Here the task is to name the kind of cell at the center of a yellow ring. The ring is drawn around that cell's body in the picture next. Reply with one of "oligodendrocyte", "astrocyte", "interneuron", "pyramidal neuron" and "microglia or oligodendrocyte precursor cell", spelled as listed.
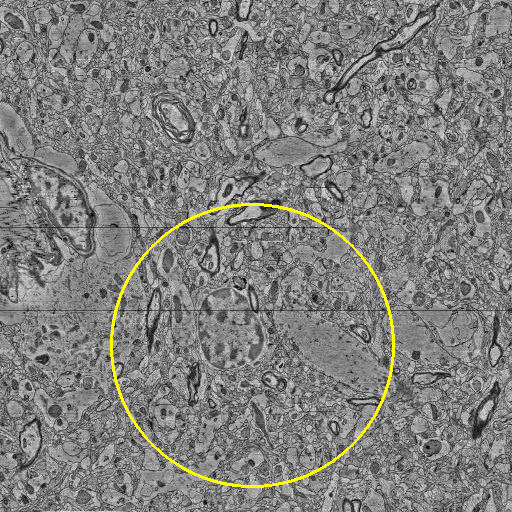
microglia or oligodendrocyte precursor cell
